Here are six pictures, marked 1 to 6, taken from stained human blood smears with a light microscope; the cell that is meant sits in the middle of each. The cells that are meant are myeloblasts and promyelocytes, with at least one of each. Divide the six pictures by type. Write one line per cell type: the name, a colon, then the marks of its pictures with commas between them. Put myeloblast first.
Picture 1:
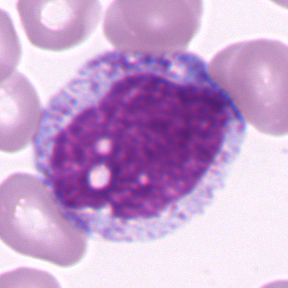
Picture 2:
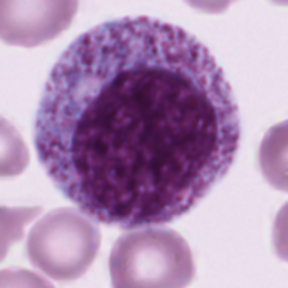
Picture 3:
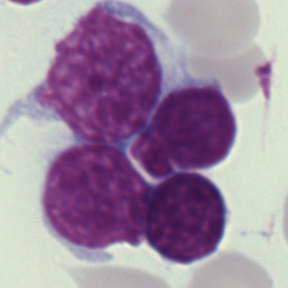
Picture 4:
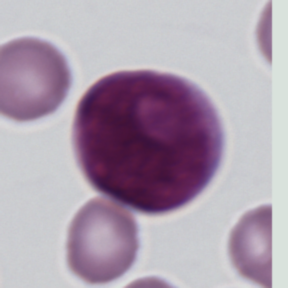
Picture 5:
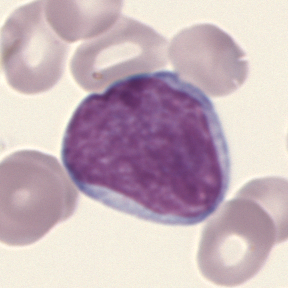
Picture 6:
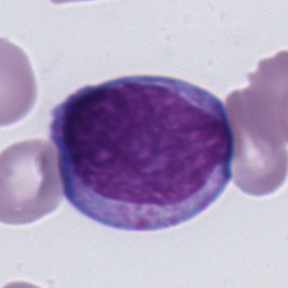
myeloblast: 3, 4, 5
promyelocyte: 1, 2, 6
